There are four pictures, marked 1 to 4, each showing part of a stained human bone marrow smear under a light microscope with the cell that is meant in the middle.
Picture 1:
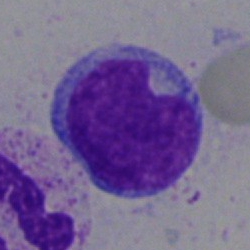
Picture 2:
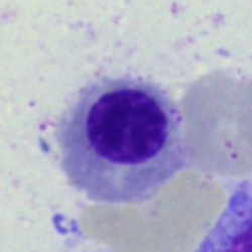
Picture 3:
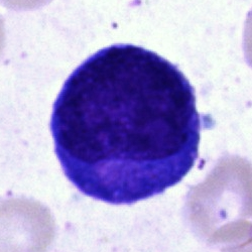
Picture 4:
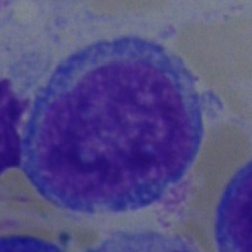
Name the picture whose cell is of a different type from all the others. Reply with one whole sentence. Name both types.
Picture 2 differs, because its cell is an erythroblast and the rest are blasts.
